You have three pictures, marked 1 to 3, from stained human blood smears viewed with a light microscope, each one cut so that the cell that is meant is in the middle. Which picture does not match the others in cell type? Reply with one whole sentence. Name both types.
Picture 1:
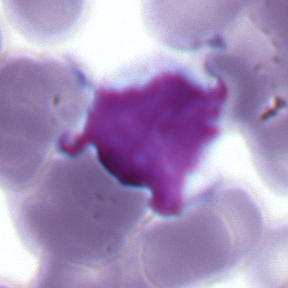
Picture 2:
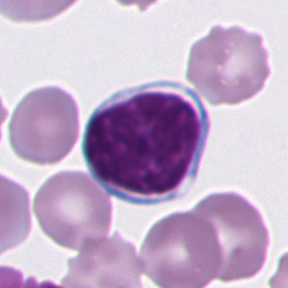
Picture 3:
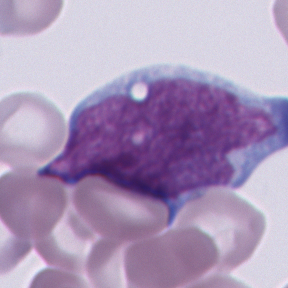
The others show typical lymphocytes, but picture 3 shows a myeloblast.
